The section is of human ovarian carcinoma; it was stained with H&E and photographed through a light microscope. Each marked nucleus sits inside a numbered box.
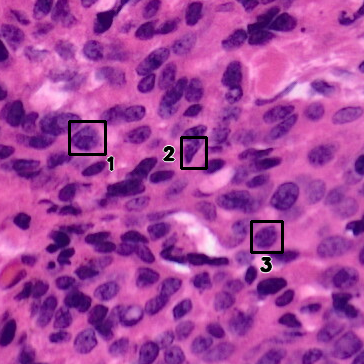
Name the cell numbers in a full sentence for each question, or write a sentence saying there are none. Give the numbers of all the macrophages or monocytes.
The cell labelled 2 is a macrophage or monocyte, while the remaining numbered cells are not.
